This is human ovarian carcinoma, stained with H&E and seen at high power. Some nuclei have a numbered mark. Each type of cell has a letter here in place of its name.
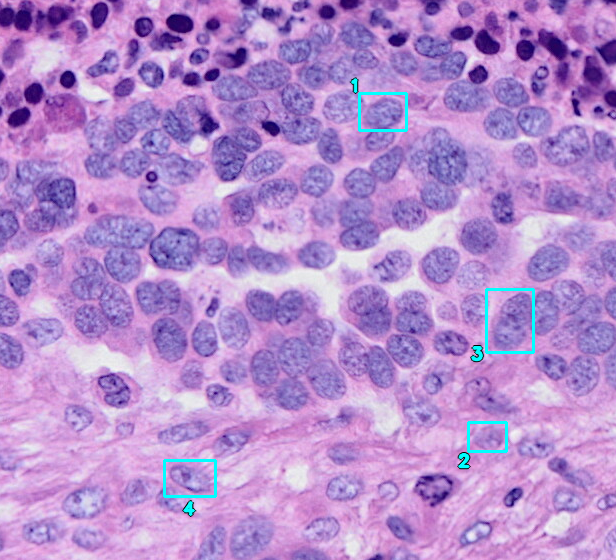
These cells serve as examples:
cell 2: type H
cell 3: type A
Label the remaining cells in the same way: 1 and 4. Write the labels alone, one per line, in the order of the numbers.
type A
type H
